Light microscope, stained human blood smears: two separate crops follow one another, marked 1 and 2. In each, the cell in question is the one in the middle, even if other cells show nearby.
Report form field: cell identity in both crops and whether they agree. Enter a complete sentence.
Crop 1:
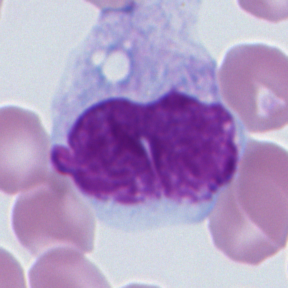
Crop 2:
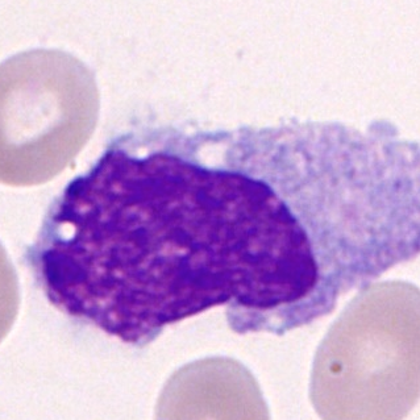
Yes, the centre cells of both crops are monocytes.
